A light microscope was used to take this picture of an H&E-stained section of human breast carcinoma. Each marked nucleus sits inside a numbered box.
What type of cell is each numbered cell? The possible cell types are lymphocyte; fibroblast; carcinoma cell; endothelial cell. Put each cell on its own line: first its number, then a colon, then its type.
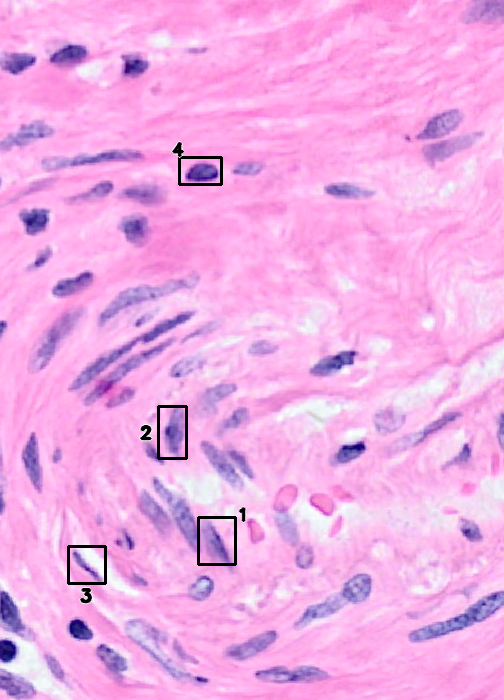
1: endothelial cell
2: endothelial cell
3: fibroblast
4: lymphocyte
